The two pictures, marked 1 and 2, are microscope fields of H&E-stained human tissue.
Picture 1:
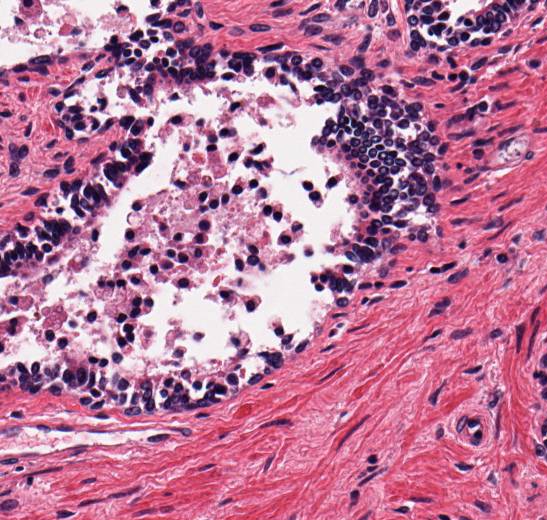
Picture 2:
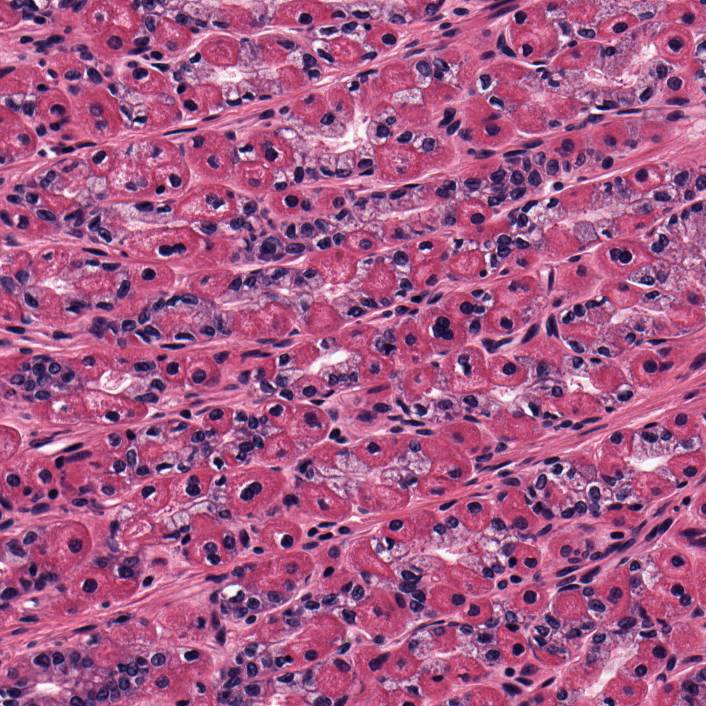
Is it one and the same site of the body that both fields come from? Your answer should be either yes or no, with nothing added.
no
